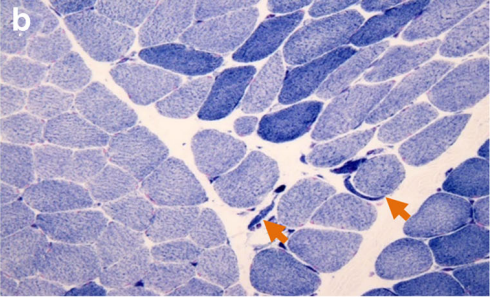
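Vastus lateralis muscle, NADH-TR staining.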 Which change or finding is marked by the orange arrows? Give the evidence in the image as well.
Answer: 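The arrowed fibers are thin and elongated, lying at the edges of larger fibers. The arrowed fibers stain darker blue than most neighbouring fibers. That points to this answer: small, angulated, or elongated myofibers.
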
